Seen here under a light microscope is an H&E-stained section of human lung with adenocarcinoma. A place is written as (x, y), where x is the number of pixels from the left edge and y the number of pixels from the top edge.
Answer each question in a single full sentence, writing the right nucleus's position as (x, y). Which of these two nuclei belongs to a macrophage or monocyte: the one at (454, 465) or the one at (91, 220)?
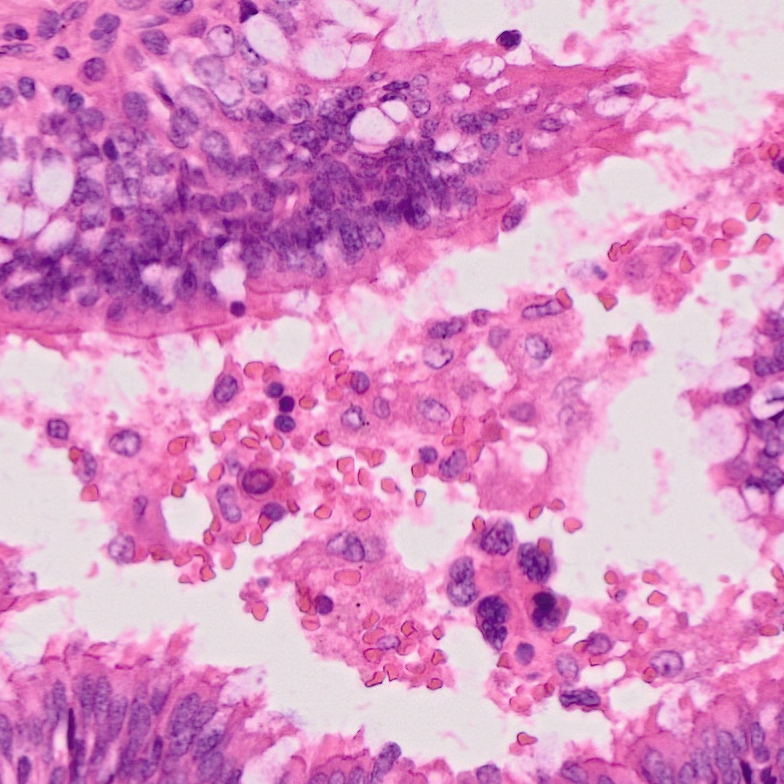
The nucleus at (454, 465) is part of a macrophage or monocyte, while the other is not.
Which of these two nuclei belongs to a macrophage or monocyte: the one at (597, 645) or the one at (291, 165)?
That would be the nucleus at (597, 645); it belongs to a macrophage or monocyte.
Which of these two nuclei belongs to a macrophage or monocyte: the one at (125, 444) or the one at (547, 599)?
The nucleus of a macrophage or monocyte is the one at (125, 444).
